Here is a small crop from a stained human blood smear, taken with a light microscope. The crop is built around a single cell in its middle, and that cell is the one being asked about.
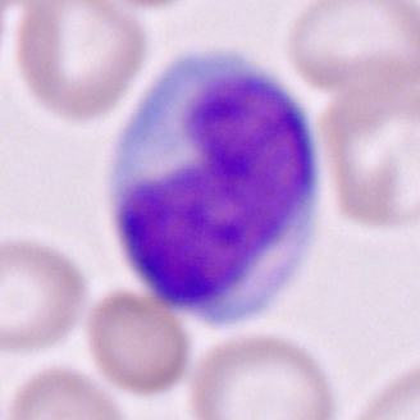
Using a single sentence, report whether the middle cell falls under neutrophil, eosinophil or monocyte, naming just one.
The identification for the central cell is a monocyte.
